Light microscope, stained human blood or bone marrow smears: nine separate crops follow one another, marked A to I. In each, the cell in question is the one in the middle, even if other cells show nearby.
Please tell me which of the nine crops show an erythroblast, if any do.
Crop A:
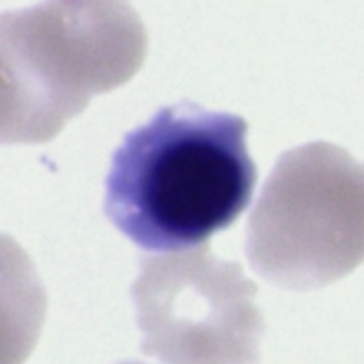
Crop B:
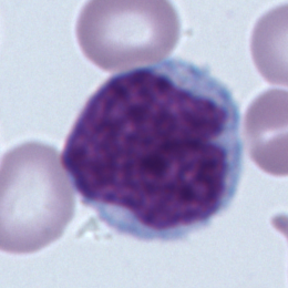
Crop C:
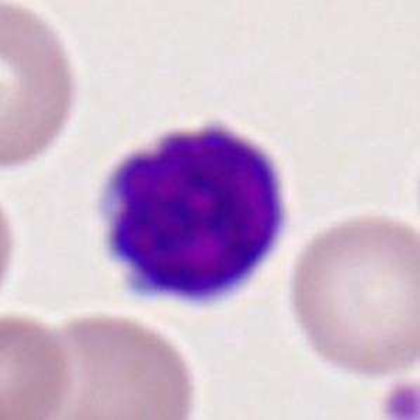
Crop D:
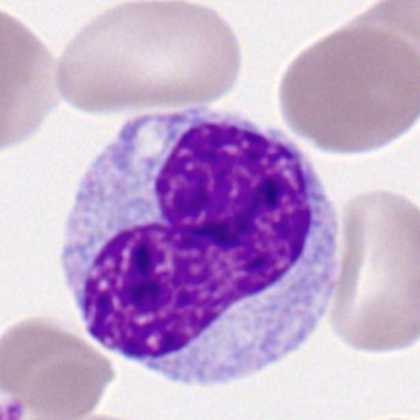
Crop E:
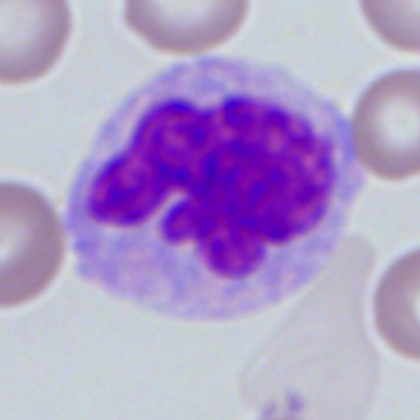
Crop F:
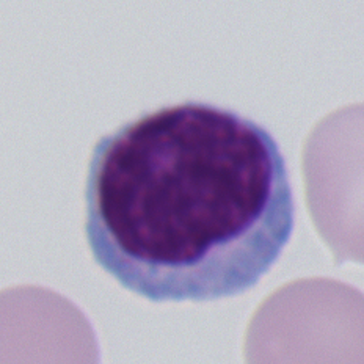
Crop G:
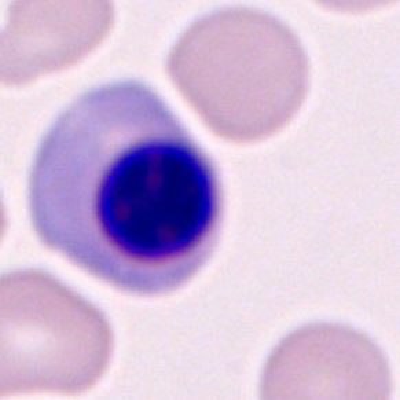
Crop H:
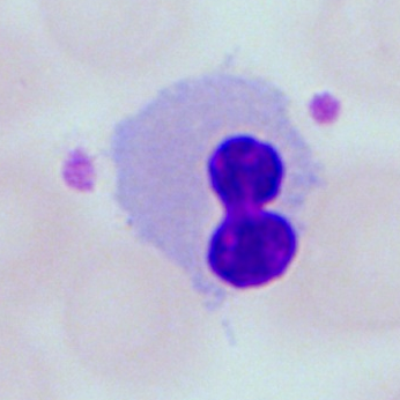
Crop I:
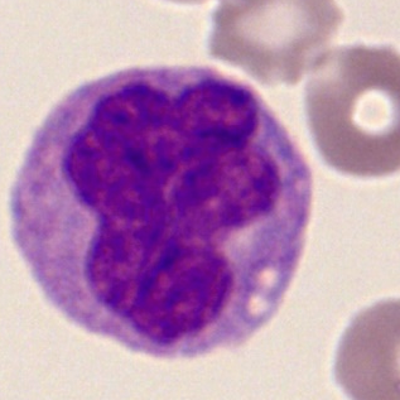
A, G, H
